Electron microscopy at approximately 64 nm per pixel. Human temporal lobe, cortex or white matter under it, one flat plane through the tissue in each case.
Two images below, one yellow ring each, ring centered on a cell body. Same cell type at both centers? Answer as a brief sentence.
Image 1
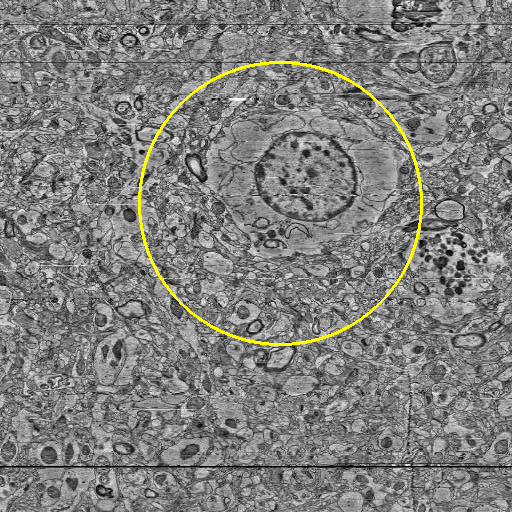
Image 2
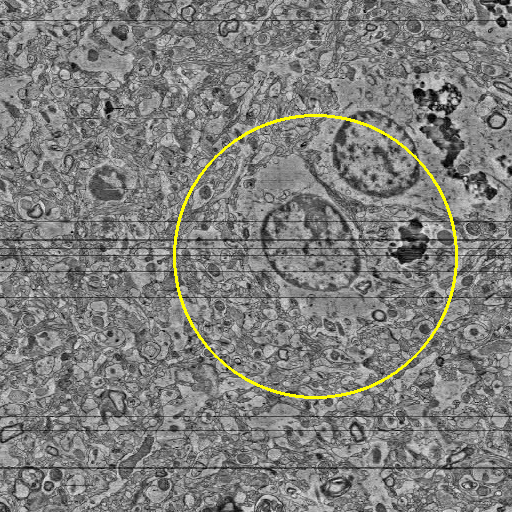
Yes, both cells are of the same type.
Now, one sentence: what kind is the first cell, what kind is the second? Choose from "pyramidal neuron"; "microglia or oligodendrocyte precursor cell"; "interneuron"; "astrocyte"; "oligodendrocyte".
In each of the two pictures, the ringed cell is an astrocyte.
